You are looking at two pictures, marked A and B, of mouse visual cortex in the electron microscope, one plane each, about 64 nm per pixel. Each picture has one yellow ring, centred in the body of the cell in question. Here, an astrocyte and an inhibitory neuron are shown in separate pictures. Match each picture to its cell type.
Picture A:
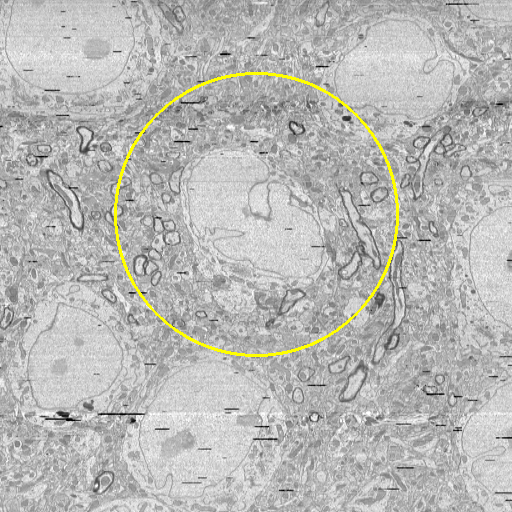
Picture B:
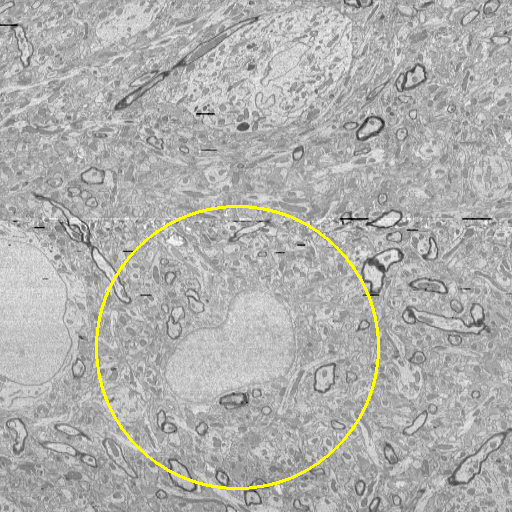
It is picture A that shows an inhibitory neuron, and picture B that shows an astrocyte.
